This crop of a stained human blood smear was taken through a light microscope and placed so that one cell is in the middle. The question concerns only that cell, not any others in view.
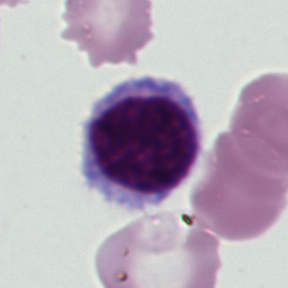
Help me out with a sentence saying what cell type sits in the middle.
The central cell shown in this smear crop is a hairy cell.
